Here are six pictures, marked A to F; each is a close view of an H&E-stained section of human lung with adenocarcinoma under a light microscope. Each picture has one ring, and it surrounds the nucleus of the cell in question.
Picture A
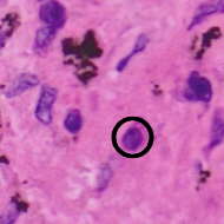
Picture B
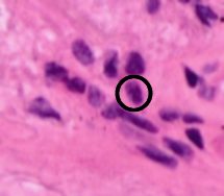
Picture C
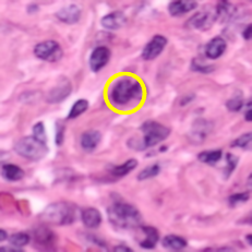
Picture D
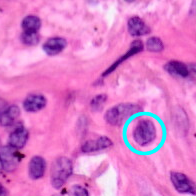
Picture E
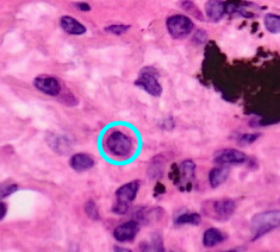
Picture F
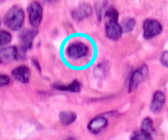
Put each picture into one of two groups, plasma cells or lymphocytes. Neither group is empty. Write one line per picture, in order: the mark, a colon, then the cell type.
A: plasma cell
B: plasma cell
C: plasma cell
D: lymphocyte
E: plasma cell
F: lymphocyte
